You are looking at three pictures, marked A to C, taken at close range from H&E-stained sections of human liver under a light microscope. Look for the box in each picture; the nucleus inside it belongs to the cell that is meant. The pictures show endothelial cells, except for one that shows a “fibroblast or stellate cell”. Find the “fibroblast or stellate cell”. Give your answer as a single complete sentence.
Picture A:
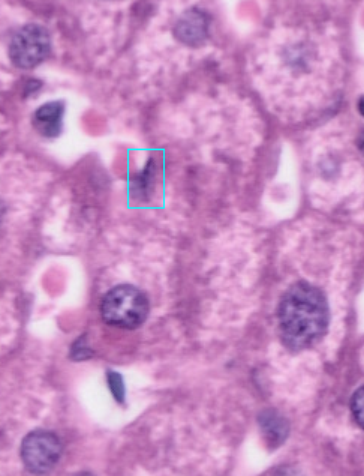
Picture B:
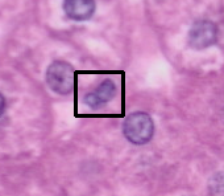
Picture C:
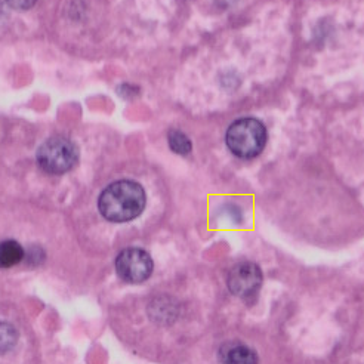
Picture B is the one that shows the “fibroblast or stellate cell”.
